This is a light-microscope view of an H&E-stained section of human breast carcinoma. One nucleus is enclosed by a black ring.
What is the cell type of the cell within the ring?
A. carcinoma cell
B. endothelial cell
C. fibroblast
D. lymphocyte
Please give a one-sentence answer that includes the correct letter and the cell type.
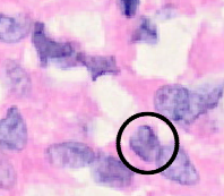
The correct option is A, as the cell within the ring is a carcinoma cell.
